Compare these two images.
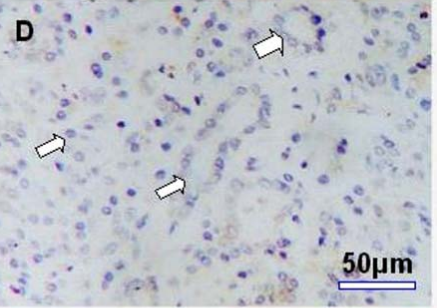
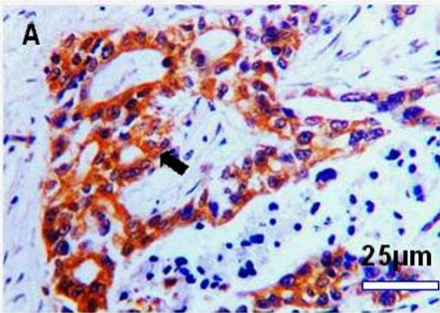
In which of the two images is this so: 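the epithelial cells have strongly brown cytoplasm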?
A: The second image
